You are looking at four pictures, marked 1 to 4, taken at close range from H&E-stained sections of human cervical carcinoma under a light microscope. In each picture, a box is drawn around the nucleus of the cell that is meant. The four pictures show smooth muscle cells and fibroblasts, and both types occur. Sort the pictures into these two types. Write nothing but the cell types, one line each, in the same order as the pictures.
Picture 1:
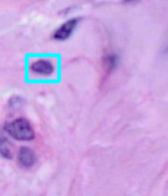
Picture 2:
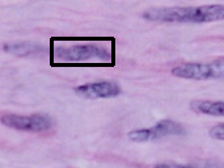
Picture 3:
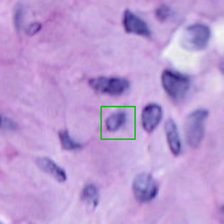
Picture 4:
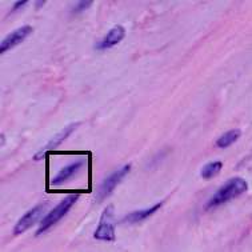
fibroblast
smooth muscle cell
fibroblast
fibroblast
